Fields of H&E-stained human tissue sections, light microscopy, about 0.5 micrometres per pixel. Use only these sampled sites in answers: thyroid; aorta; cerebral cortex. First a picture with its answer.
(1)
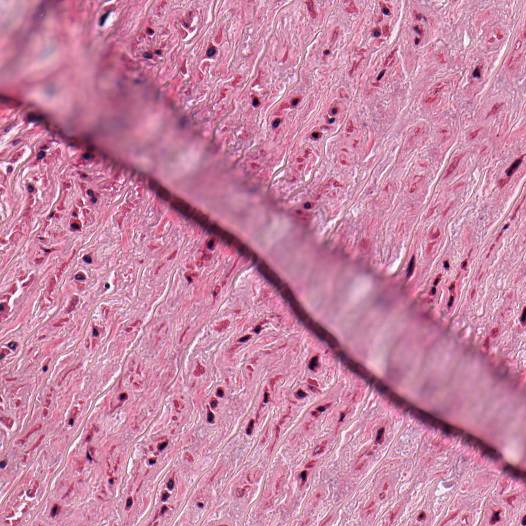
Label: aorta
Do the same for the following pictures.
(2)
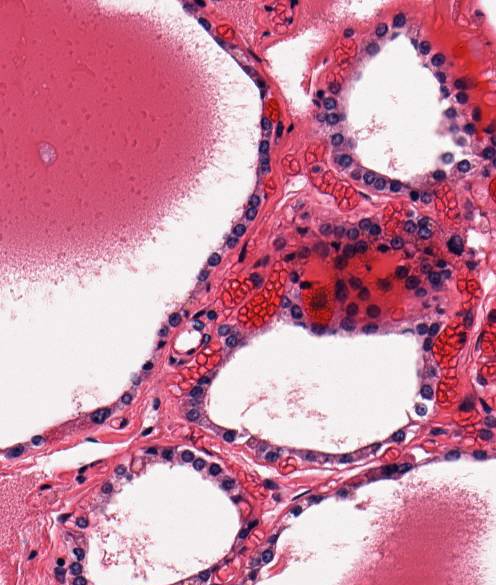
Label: thyroid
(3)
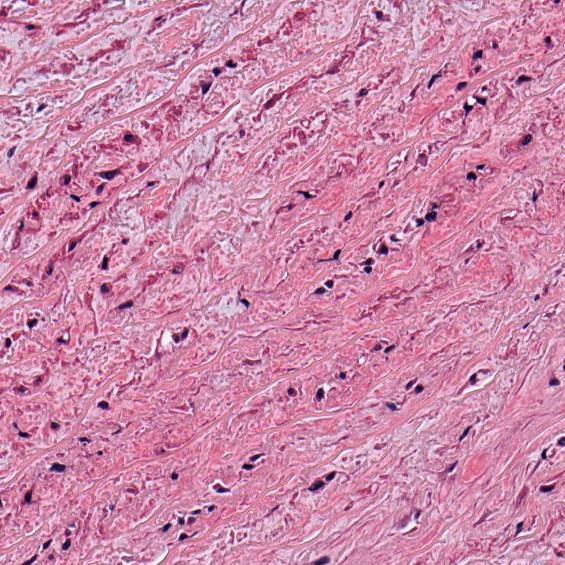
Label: aorta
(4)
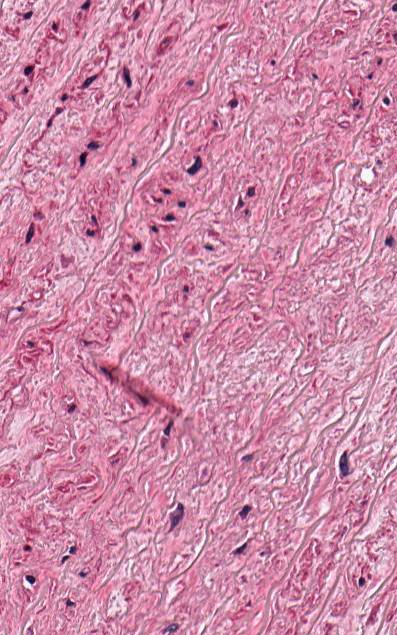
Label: aorta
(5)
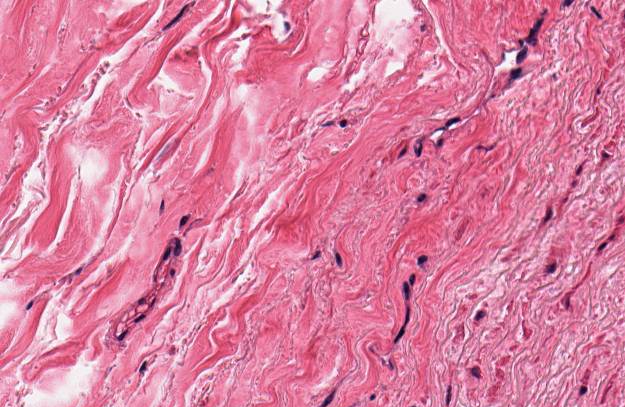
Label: aorta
